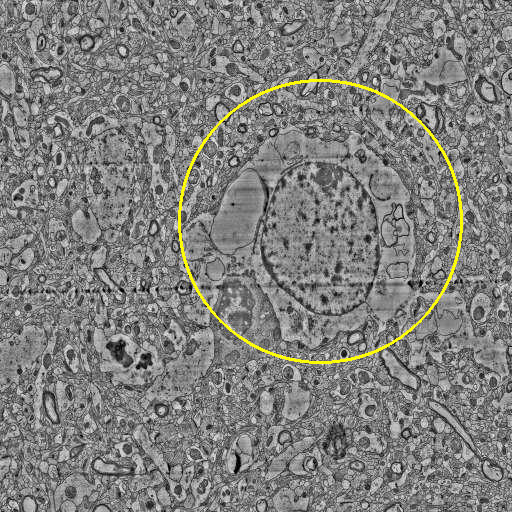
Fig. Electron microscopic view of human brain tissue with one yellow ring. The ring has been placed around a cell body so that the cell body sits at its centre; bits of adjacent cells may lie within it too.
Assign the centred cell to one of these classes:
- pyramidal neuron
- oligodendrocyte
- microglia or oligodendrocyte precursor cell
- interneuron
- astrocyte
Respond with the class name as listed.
astrocyte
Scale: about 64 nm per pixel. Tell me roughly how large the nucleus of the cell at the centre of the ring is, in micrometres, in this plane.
In this plane, the nucleus is roughly 10 by 8 micrometres.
